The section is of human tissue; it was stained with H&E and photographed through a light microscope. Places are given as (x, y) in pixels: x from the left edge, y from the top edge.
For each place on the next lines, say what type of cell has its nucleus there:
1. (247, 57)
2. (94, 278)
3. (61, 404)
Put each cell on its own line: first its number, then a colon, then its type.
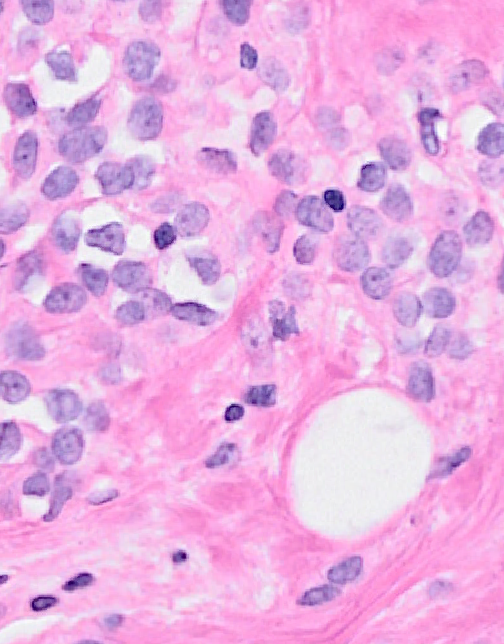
1: lymphocyte
2: carcinoma cell
3: carcinoma cell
